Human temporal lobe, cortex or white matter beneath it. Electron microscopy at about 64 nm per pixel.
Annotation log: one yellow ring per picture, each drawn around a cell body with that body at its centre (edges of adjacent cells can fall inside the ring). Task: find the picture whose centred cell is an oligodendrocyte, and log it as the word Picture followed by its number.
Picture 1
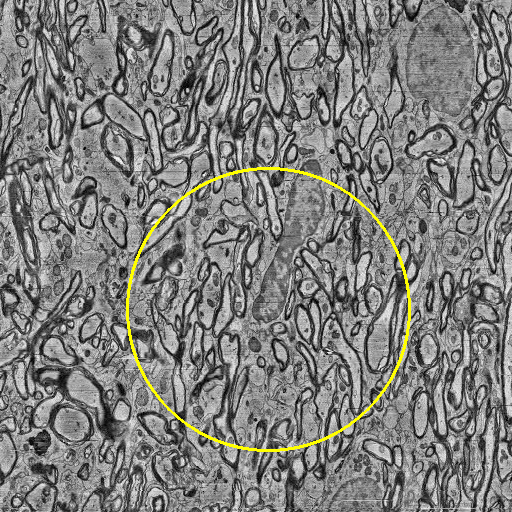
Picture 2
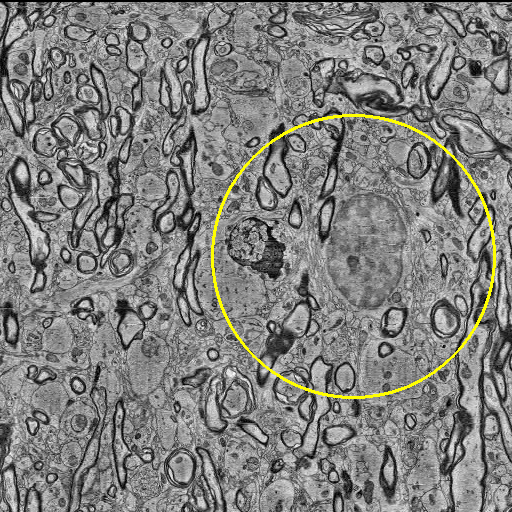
Picture 2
